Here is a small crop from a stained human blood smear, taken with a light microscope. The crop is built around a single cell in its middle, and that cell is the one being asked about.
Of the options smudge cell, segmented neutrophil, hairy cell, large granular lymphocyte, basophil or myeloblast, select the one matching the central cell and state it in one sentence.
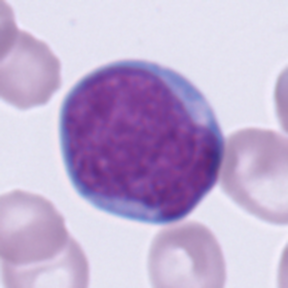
Positioned in the middle of the crop is a myeloblast.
